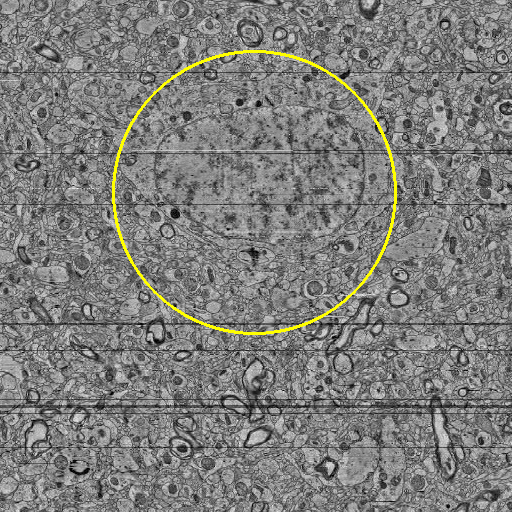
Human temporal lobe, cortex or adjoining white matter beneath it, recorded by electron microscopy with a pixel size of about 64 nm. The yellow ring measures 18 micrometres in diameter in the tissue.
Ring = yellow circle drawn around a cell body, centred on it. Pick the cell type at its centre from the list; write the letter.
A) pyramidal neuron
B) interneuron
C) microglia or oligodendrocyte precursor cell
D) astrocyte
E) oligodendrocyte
B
